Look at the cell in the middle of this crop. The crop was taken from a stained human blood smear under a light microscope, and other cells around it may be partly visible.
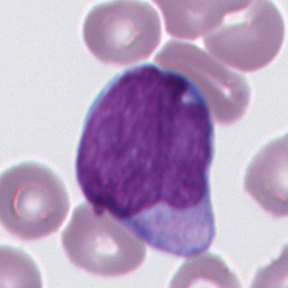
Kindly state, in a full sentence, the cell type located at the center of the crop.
The middle cell in this particular crop is an atypical promyelocyte.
